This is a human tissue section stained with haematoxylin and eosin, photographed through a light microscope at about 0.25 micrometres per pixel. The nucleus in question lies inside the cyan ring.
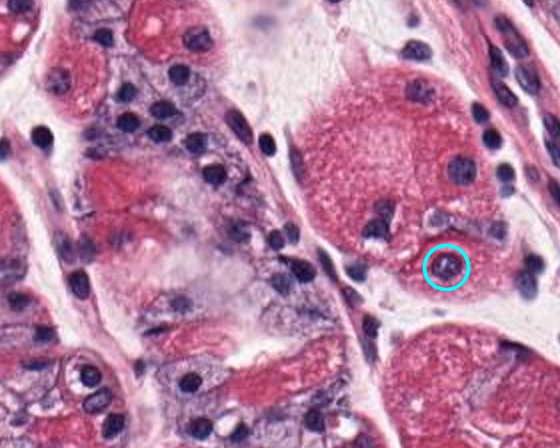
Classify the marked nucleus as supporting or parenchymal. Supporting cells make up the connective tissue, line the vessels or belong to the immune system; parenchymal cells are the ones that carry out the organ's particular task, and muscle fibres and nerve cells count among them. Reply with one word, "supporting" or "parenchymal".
parenchymal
